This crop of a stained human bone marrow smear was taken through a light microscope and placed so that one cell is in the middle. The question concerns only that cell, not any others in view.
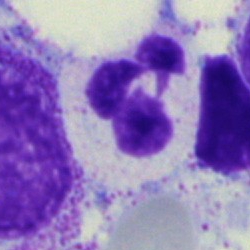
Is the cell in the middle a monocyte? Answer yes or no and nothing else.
no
